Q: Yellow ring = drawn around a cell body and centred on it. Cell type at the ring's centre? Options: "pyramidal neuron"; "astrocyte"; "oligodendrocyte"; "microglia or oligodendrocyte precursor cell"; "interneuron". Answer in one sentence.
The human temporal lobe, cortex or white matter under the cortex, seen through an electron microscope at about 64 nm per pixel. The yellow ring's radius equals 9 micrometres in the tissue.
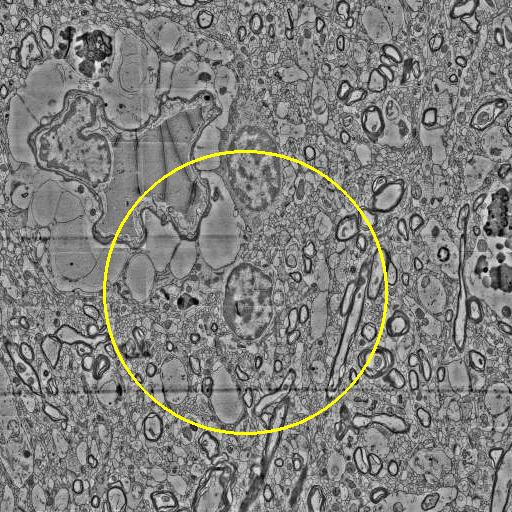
Centred in the ring is a microglial cell or oligodendrocyte precursor cell.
